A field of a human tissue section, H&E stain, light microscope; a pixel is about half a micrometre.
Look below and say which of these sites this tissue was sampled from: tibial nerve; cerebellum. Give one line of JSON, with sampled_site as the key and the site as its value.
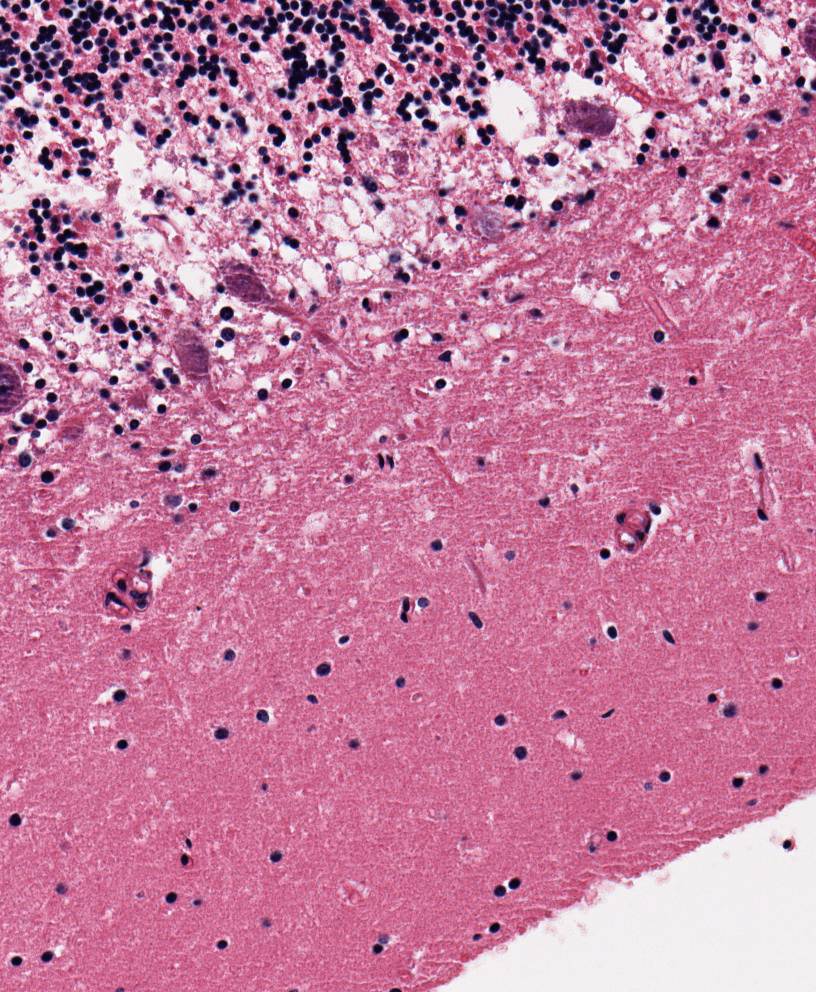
{"sampled_site": "cerebellum"}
